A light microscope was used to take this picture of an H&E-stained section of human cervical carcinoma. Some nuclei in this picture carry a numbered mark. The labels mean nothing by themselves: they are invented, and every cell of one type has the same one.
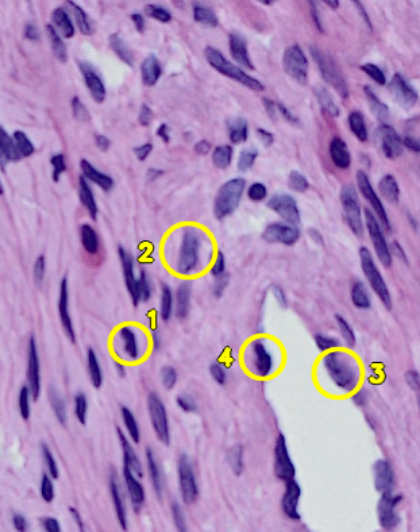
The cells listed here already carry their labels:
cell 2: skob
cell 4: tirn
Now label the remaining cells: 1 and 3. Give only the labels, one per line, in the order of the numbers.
skob
tirn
